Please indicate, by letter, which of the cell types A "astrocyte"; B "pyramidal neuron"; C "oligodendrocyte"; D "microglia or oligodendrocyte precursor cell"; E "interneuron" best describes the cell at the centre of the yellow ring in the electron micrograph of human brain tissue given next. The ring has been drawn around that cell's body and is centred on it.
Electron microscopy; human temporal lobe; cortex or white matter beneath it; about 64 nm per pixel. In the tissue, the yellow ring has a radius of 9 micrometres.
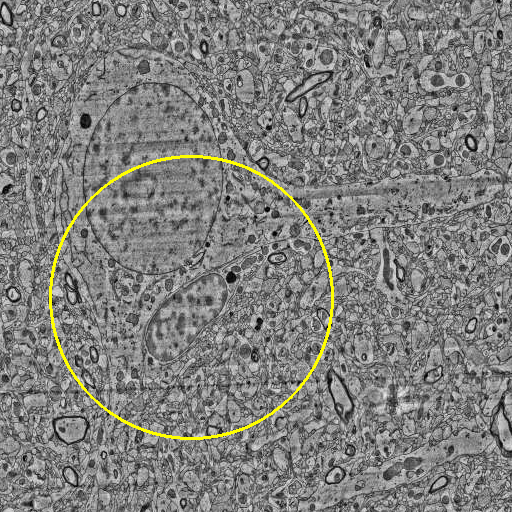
D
